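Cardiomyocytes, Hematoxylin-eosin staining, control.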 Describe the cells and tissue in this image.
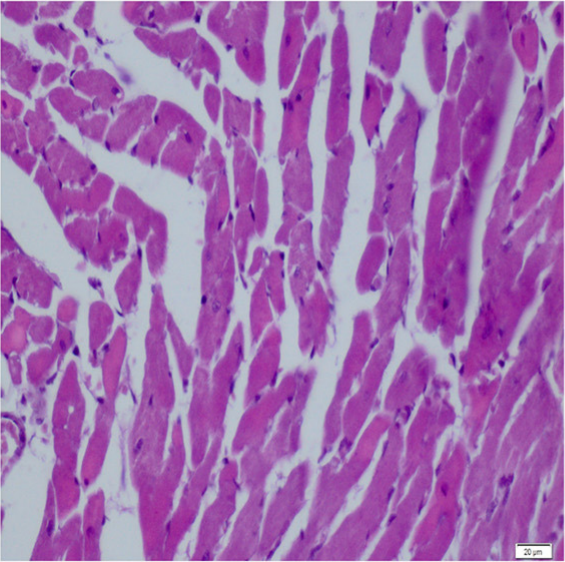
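Heart muscle cut roughly lengthwise shows bands of pink-staining cardiac muscle cells with oval, centrally placed purple nuclei. The fibres are separated by clear white spaces and branch and join one another.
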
